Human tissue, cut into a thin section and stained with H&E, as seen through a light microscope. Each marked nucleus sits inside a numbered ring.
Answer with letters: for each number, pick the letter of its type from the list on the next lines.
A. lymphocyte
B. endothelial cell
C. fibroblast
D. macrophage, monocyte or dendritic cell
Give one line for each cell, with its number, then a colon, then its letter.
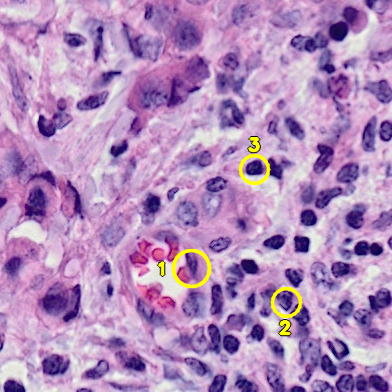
1: B
2: A
3: A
